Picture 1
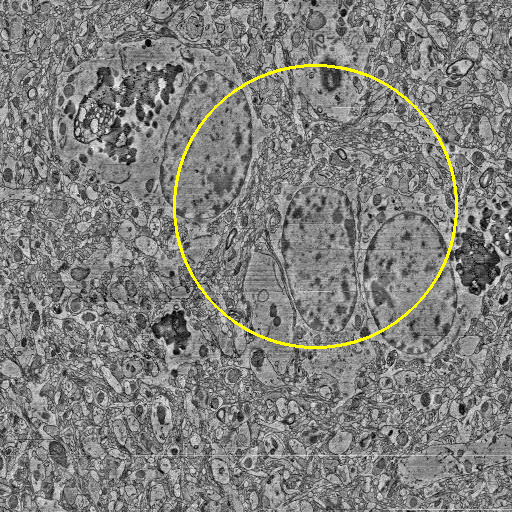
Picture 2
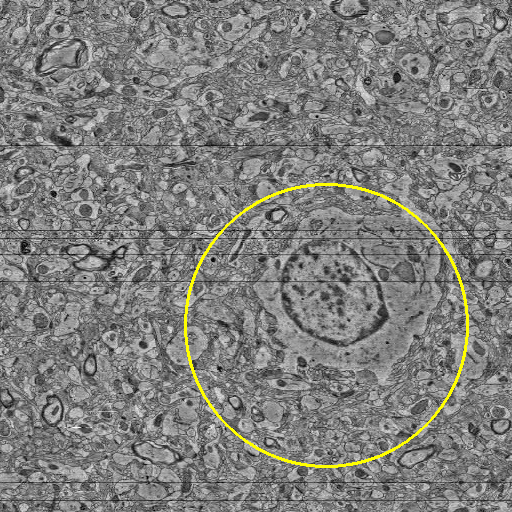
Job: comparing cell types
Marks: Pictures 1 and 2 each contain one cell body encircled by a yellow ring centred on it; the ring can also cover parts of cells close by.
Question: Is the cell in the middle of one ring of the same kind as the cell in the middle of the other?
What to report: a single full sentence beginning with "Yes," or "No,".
Yes, the cell at the ring centre in Picture 1 and its partner in Picture 2 are of one kind.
